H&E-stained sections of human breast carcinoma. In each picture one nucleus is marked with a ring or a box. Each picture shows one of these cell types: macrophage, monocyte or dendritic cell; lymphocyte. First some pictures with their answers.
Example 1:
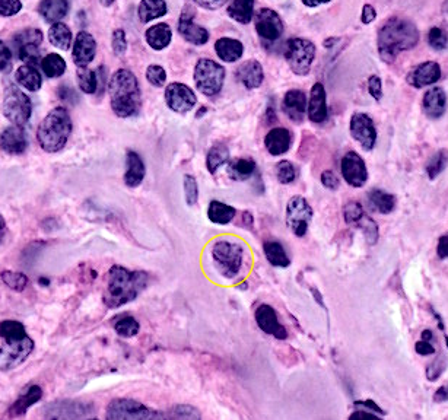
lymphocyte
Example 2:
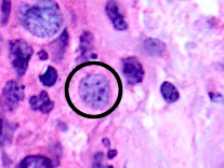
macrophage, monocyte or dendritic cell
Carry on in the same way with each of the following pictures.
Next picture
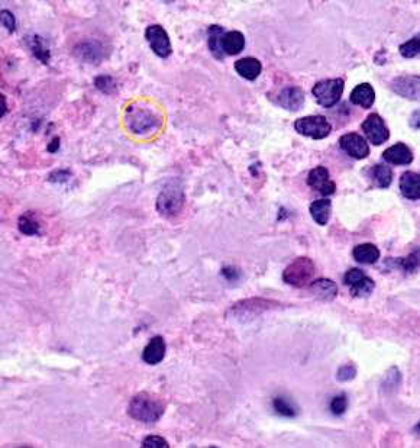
macrophage, monocyte or dendritic cell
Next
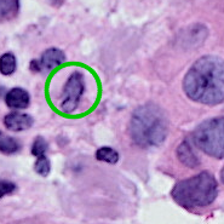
macrophage, monocyte or dendritic cell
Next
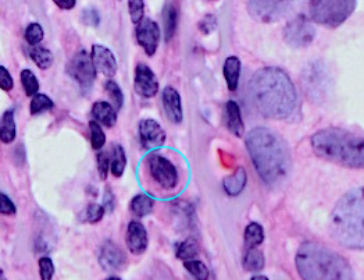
lymphocyte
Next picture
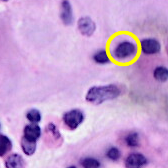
lymphocyte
